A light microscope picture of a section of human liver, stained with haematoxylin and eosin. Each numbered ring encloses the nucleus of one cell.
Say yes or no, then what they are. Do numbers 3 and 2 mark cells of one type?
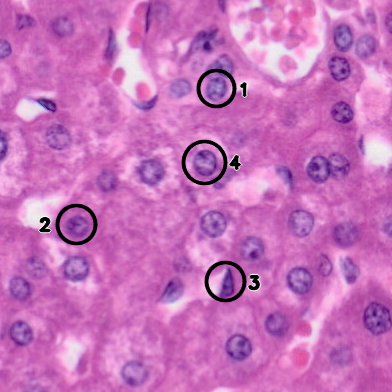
No, the correct reading has cell 3 as an endothelial cell and cell 2 as a hepatocyte.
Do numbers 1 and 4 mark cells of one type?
No, the cell numbered 1 is a cholangiocyte and the cell numbered 4 is a hepatocyte.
